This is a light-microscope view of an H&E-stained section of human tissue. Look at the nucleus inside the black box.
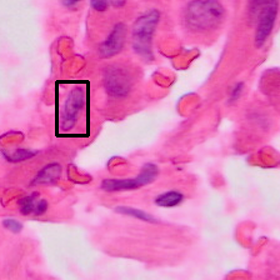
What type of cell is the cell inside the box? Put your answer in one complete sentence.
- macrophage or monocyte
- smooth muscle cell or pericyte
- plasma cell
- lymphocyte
For the purposes of cell typing, the cell inside the box is categorized as a macrophage or monocyte.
